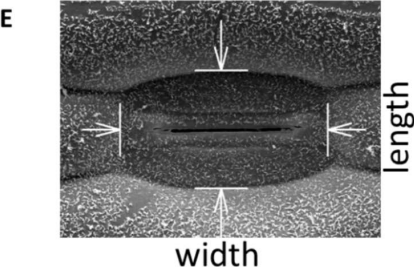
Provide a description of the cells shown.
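This high-magnification scanning electron image shows a single stoma on the leaf surface. It is a lens-shaped complex with a narrow, dark slit-like pore running along its middle, bounded by two elongated halves. The surrounding surface is covered with small, flaky particles, giving it a rough texture, while the stoma itself looks smoother and darker. White arrows and lines mark the outer edges of the complex across both of its axes.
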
